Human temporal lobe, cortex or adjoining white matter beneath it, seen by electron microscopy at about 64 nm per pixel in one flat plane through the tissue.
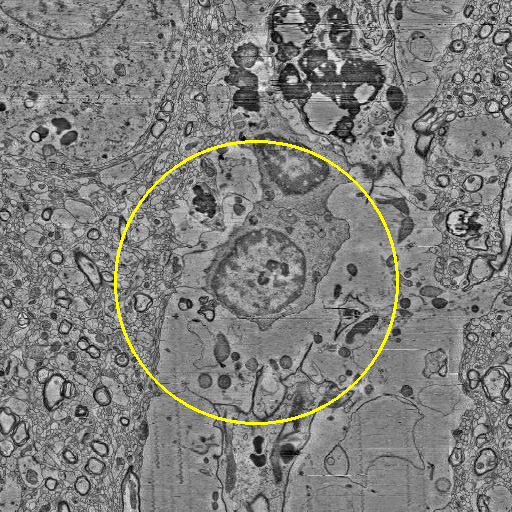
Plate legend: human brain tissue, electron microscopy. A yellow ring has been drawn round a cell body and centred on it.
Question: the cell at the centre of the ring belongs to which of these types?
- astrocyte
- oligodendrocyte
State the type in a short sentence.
The cell in the middle of the ring is an oligodendrocyte.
